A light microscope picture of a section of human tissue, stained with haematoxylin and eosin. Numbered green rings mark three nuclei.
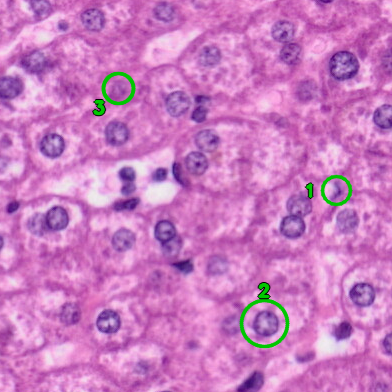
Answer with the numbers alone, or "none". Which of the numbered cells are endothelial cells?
1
